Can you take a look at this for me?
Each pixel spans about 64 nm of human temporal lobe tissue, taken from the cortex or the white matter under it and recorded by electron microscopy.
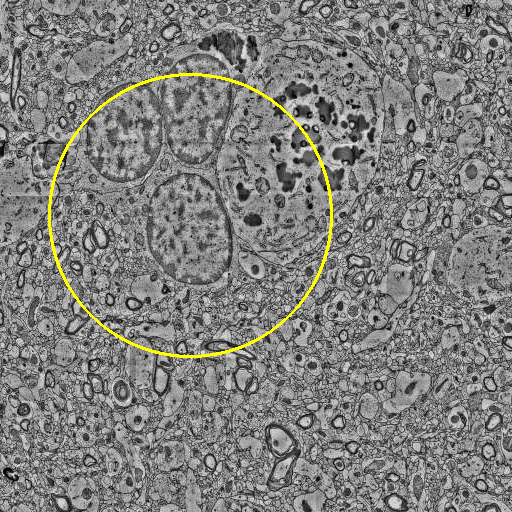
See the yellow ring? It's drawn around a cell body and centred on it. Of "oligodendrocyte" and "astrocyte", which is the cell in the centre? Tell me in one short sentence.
The one in the centre is an oligodendrocyte.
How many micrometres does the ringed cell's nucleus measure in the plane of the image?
In this plane the nucleus is about 7 micrometres by 5.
